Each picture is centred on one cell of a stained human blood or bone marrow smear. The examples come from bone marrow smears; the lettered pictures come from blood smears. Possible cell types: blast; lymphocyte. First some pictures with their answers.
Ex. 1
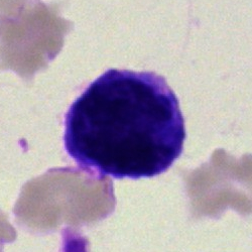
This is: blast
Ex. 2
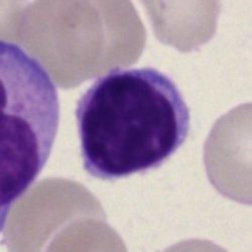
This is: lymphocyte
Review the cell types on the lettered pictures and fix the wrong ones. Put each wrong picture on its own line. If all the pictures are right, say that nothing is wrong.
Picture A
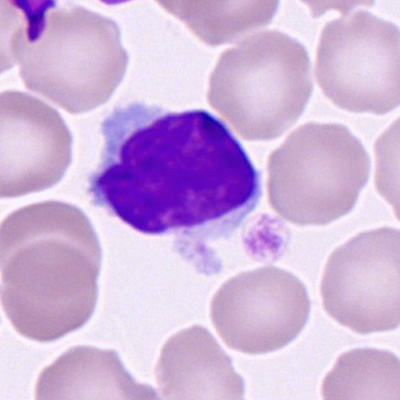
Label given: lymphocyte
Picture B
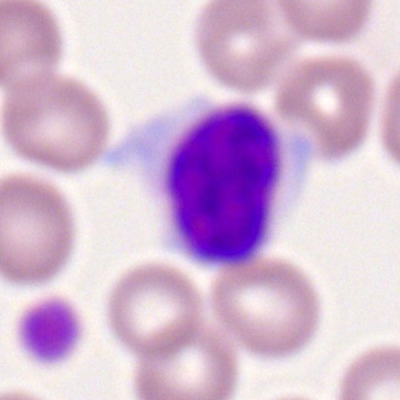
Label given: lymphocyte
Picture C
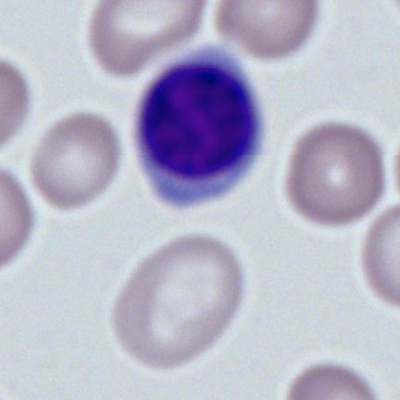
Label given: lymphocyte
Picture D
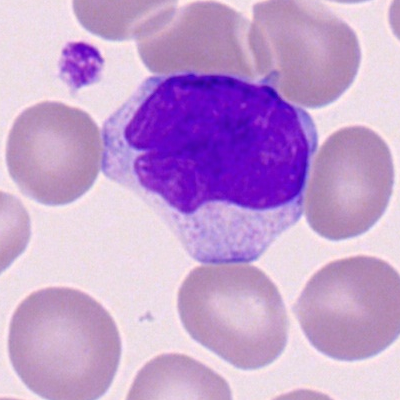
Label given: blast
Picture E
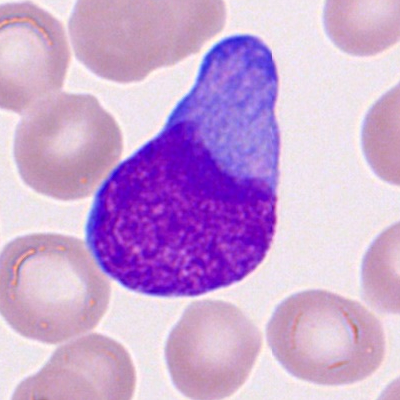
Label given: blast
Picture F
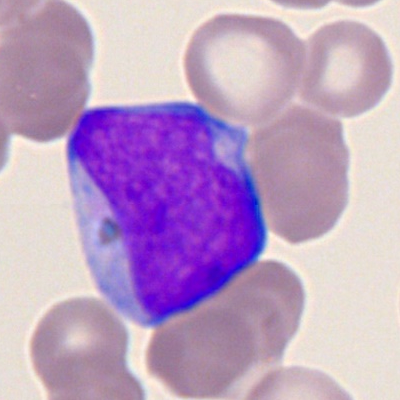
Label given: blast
D is labelled blast; correct label: lymphocyte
